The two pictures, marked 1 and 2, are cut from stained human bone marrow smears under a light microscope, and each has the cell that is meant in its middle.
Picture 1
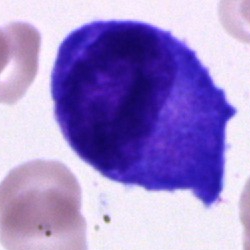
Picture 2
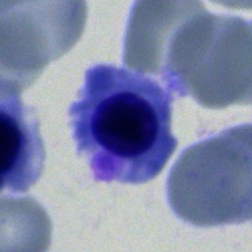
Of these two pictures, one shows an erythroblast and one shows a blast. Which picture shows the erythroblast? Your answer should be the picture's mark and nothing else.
2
